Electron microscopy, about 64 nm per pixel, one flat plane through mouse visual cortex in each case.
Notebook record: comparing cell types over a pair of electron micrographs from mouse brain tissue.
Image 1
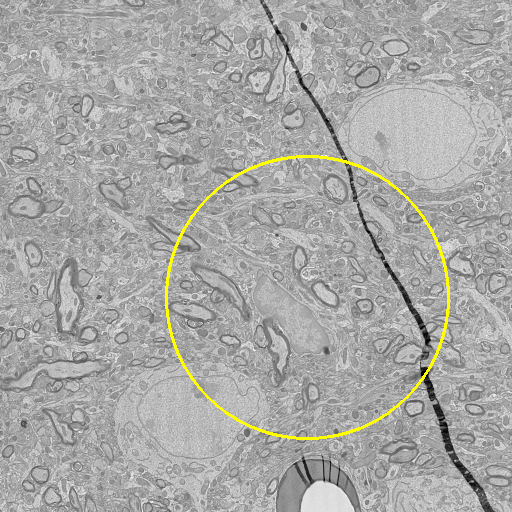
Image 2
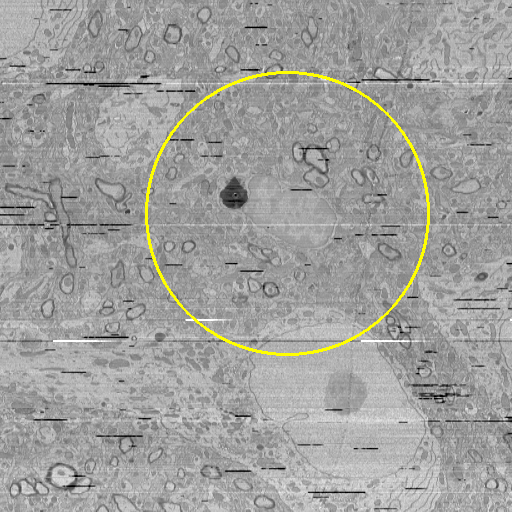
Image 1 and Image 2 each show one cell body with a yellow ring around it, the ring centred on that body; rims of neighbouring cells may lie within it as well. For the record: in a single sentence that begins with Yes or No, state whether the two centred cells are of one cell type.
Yes, one cell type is shared by the centred cells of Image 1 and Image 2.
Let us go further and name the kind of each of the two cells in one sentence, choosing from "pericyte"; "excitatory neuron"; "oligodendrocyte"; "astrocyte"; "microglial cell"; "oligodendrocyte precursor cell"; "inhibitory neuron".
Both pictures show a microglial cell at the centre of the ring.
